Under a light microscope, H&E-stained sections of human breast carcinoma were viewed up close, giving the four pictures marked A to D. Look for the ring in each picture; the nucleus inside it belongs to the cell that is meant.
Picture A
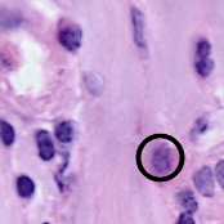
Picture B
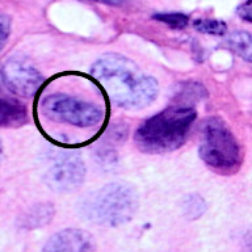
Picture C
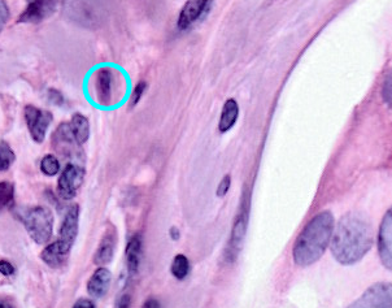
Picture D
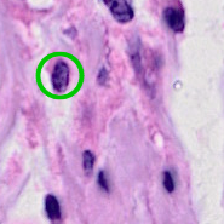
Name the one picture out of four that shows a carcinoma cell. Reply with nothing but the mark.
B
